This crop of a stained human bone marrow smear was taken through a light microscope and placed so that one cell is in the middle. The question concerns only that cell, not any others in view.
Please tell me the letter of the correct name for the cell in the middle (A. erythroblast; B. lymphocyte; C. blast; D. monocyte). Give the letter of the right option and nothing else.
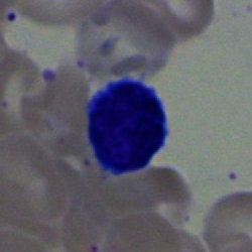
B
